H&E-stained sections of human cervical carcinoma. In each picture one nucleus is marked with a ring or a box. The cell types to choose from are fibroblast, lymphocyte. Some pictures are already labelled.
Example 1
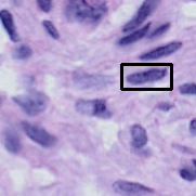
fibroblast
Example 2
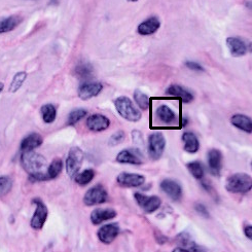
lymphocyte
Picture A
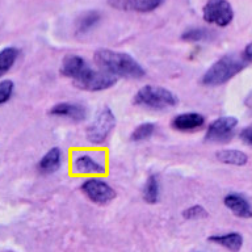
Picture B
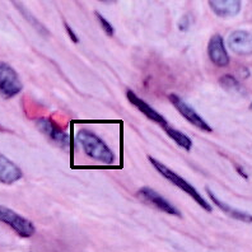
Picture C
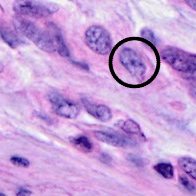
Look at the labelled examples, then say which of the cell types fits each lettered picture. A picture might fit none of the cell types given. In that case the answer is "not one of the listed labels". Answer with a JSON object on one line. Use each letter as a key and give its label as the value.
{"A": "fibroblast", "B": "not one of the listed labels", "C": "not one of the listed labels"}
